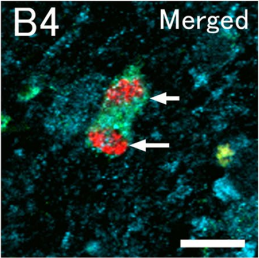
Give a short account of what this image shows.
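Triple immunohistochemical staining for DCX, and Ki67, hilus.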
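A patch of green cytoplasm envelops both nuclei. Faint cyan overlies the cell bodies against a speckled cyan background. A small separate green and yellow spot lies nearby.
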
